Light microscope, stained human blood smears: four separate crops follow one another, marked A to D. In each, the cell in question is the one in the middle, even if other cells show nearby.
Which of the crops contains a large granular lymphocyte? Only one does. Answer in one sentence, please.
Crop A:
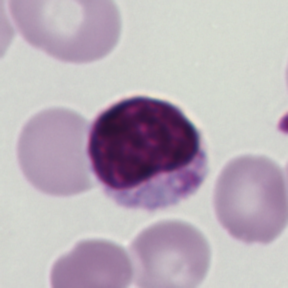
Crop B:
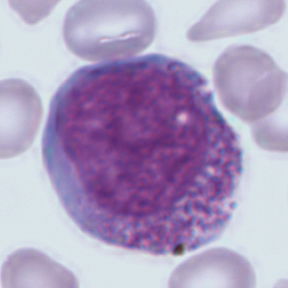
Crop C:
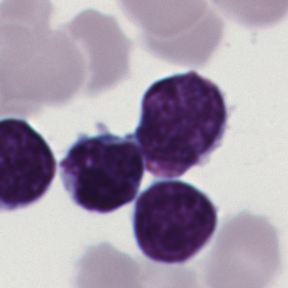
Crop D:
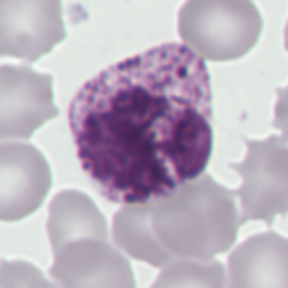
Of the labelled crops, the one that shows a large granular lymphocyte is crop A.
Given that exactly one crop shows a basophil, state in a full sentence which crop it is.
Crop D shows a basophil, and no other crop does.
